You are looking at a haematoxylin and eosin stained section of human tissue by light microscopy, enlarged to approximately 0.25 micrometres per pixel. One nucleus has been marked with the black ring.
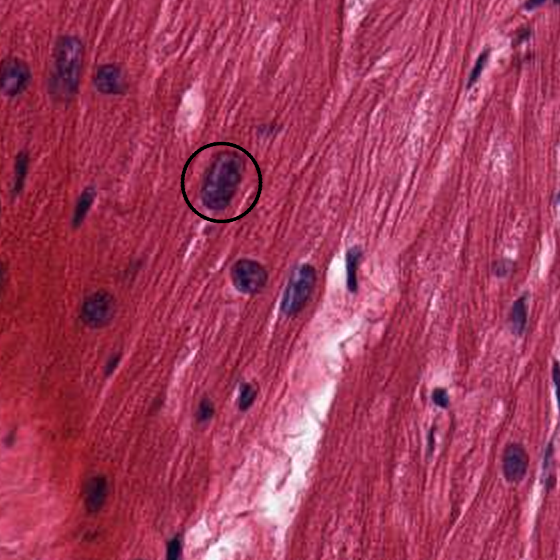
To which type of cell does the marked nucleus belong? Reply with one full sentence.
In this picture, the marked nucleus belongs to a cardiomyocyte.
